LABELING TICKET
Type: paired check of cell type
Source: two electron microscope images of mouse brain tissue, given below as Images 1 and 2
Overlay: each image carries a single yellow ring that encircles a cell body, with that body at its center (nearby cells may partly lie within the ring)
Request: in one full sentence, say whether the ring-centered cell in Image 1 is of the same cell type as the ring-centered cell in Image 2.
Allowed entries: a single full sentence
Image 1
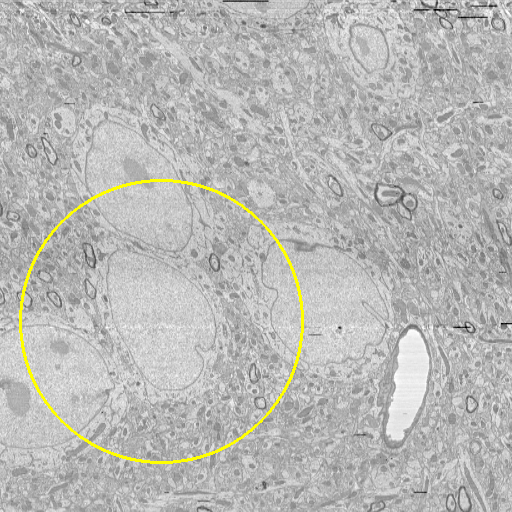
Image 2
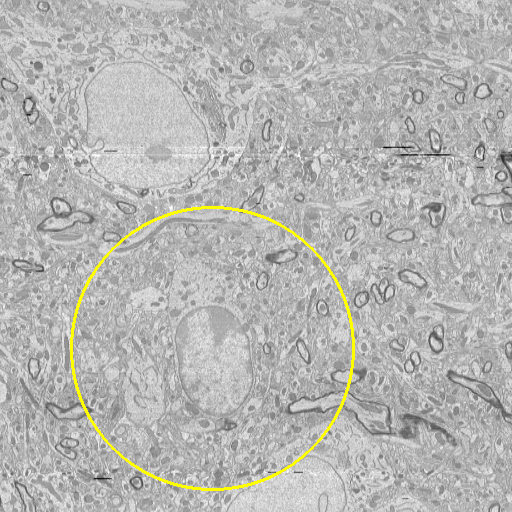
No, the cells centered in the rings of Image 1 and Image 2 are of two types.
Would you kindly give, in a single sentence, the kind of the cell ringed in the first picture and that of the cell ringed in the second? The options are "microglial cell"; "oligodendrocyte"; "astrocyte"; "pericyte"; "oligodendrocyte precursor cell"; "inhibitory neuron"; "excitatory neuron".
The second cell is an oligodendrocyte, and the first cell is an excitatory neuron.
